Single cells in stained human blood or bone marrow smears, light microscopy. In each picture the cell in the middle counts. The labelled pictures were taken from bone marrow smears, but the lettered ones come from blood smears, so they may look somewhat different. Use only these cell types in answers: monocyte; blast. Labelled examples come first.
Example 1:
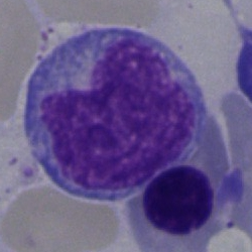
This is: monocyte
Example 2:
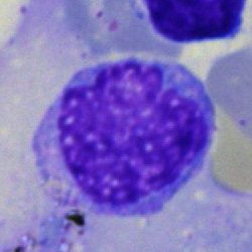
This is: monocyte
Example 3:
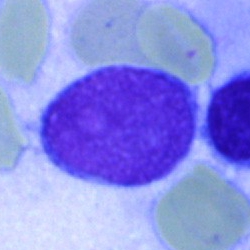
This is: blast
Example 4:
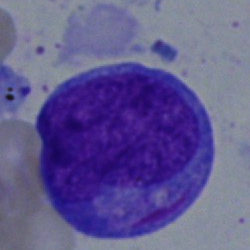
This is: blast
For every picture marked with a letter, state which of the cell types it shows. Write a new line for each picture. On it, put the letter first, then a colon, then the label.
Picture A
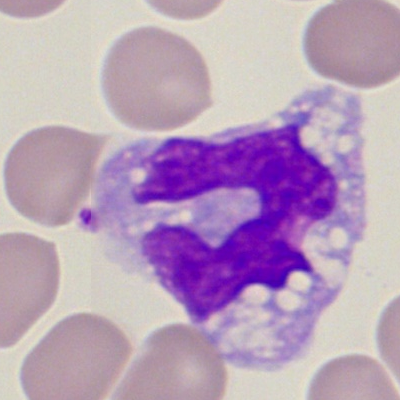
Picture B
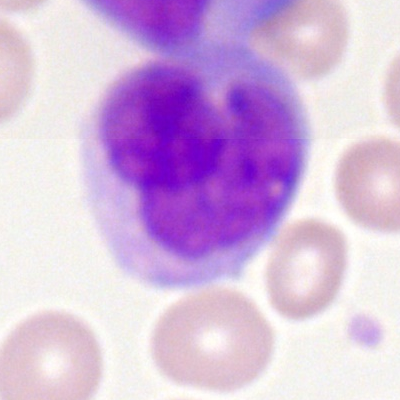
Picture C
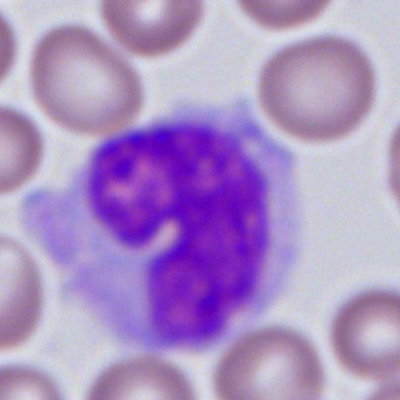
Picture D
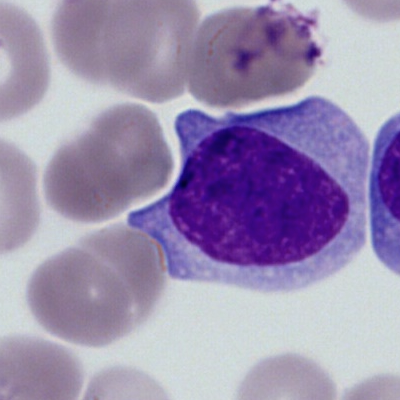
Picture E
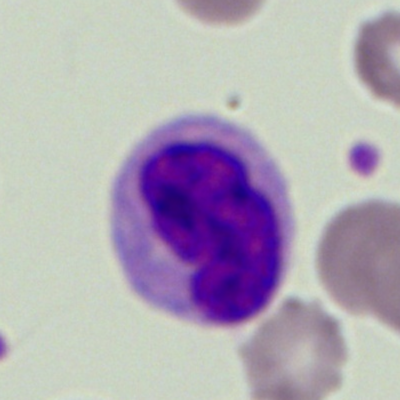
A: monocyte
B: monocyte
C: monocyte
D: blast
E: monocyte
